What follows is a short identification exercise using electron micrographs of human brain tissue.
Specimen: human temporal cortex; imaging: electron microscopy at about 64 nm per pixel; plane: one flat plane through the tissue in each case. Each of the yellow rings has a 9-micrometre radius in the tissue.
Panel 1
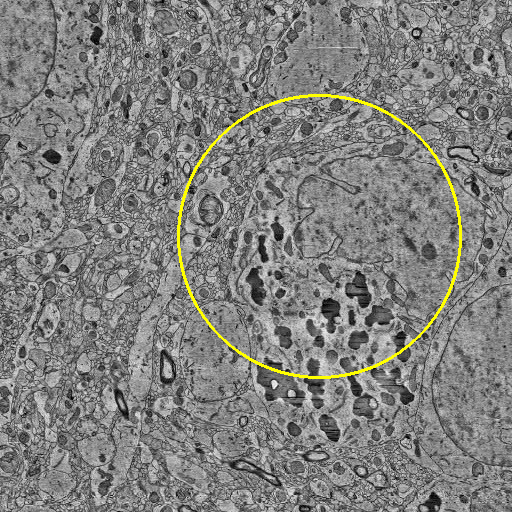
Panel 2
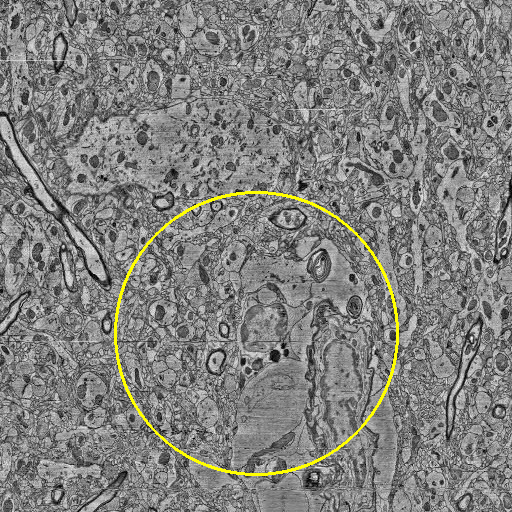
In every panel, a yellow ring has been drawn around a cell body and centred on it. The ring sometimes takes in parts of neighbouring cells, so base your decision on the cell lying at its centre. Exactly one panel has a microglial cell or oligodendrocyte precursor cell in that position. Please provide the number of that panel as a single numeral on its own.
2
